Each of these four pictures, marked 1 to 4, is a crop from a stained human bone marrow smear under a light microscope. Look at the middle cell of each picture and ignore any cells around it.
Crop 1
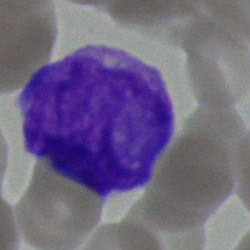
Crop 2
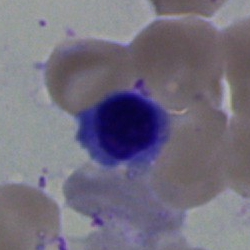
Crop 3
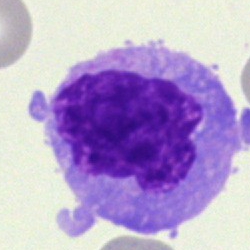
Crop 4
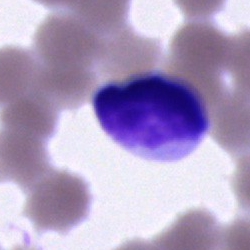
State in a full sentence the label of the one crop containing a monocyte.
Crop 3 is the one to choose: it shows a monocyte.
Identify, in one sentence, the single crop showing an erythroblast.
Of all the crops, crop 2 is the one showing an erythroblast.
